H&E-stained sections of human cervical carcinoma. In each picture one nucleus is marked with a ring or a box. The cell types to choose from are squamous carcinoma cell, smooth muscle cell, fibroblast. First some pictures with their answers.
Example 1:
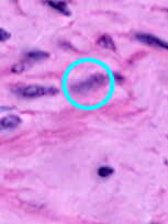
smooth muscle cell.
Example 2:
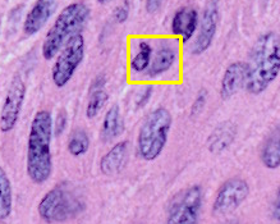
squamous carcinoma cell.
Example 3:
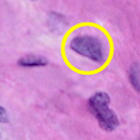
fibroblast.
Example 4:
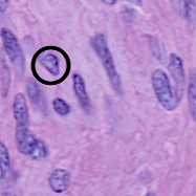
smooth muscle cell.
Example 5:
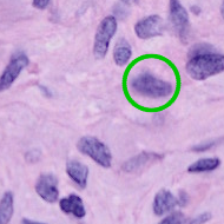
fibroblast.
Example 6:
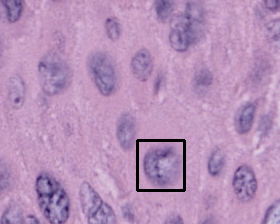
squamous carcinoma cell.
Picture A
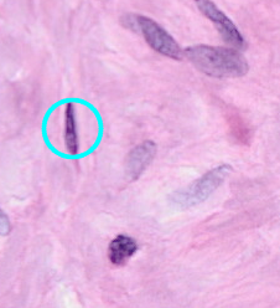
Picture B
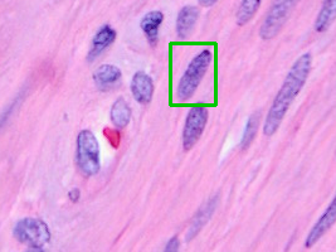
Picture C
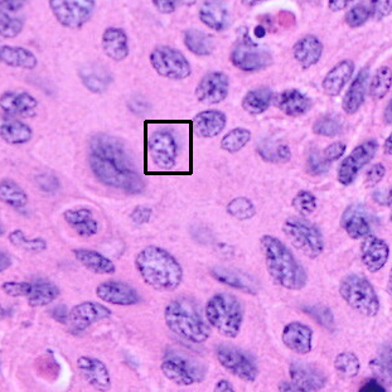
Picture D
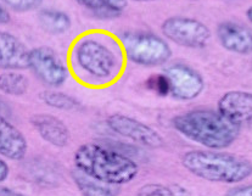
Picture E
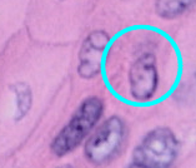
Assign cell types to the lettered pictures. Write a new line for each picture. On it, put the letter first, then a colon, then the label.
A: fibroblast.
B: fibroblast.
C: squamous carcinoma cell.
D: squamous carcinoma cell.
E: squamous carcinoma cell.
